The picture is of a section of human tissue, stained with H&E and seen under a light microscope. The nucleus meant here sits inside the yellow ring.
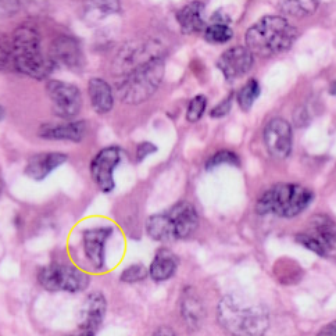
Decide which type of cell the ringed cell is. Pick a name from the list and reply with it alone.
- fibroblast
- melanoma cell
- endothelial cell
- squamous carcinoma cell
melanoma cell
